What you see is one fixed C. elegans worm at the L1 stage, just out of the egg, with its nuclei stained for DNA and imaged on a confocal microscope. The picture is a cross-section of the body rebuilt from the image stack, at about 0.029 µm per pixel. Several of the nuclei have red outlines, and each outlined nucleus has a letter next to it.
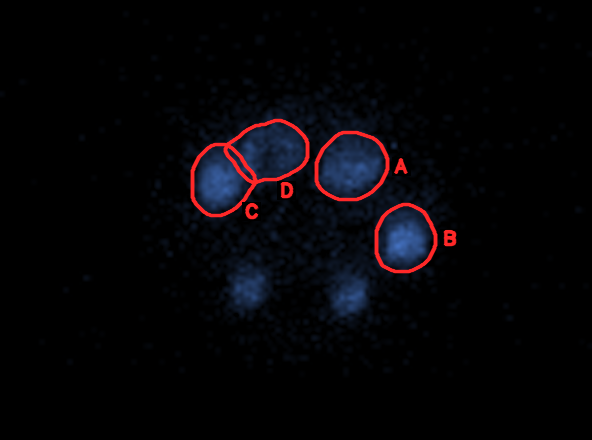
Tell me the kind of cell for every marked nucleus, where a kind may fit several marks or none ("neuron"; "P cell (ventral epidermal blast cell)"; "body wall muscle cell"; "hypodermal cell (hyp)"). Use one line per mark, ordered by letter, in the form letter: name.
A: P cell (ventral epidermal blast cell)
B: neuron
C: body wall muscle cell
D: hypodermal cell (hyp)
